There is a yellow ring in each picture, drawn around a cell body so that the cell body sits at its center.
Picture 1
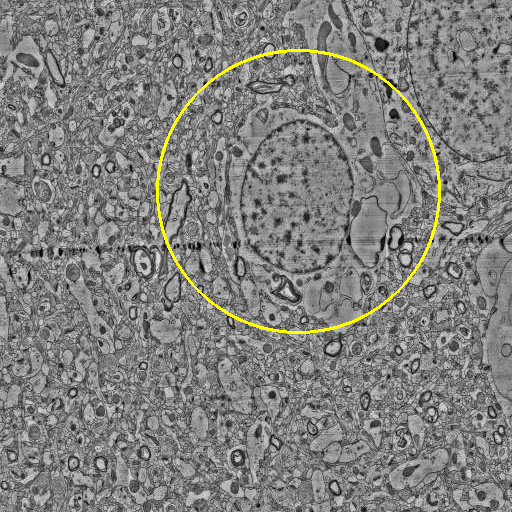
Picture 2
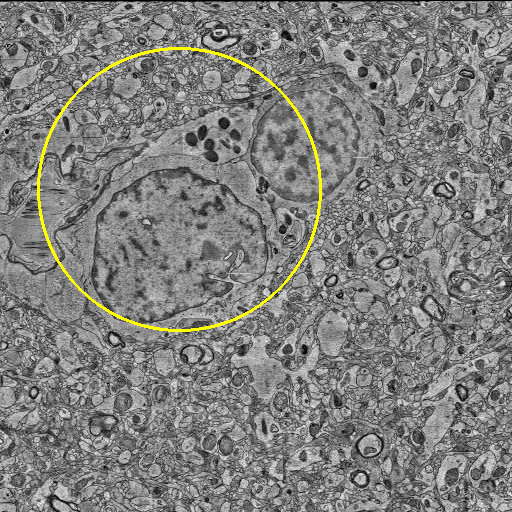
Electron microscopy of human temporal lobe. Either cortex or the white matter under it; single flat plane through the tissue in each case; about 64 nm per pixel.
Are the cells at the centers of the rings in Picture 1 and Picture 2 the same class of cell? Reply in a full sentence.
No, the two cells are two classes of cell.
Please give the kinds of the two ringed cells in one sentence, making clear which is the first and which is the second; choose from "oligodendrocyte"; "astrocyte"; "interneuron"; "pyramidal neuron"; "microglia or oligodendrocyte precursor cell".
In the second picture the ringed cell is a microglial cell or oligodendrocyte precursor cell; in the first it is an astrocyte.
